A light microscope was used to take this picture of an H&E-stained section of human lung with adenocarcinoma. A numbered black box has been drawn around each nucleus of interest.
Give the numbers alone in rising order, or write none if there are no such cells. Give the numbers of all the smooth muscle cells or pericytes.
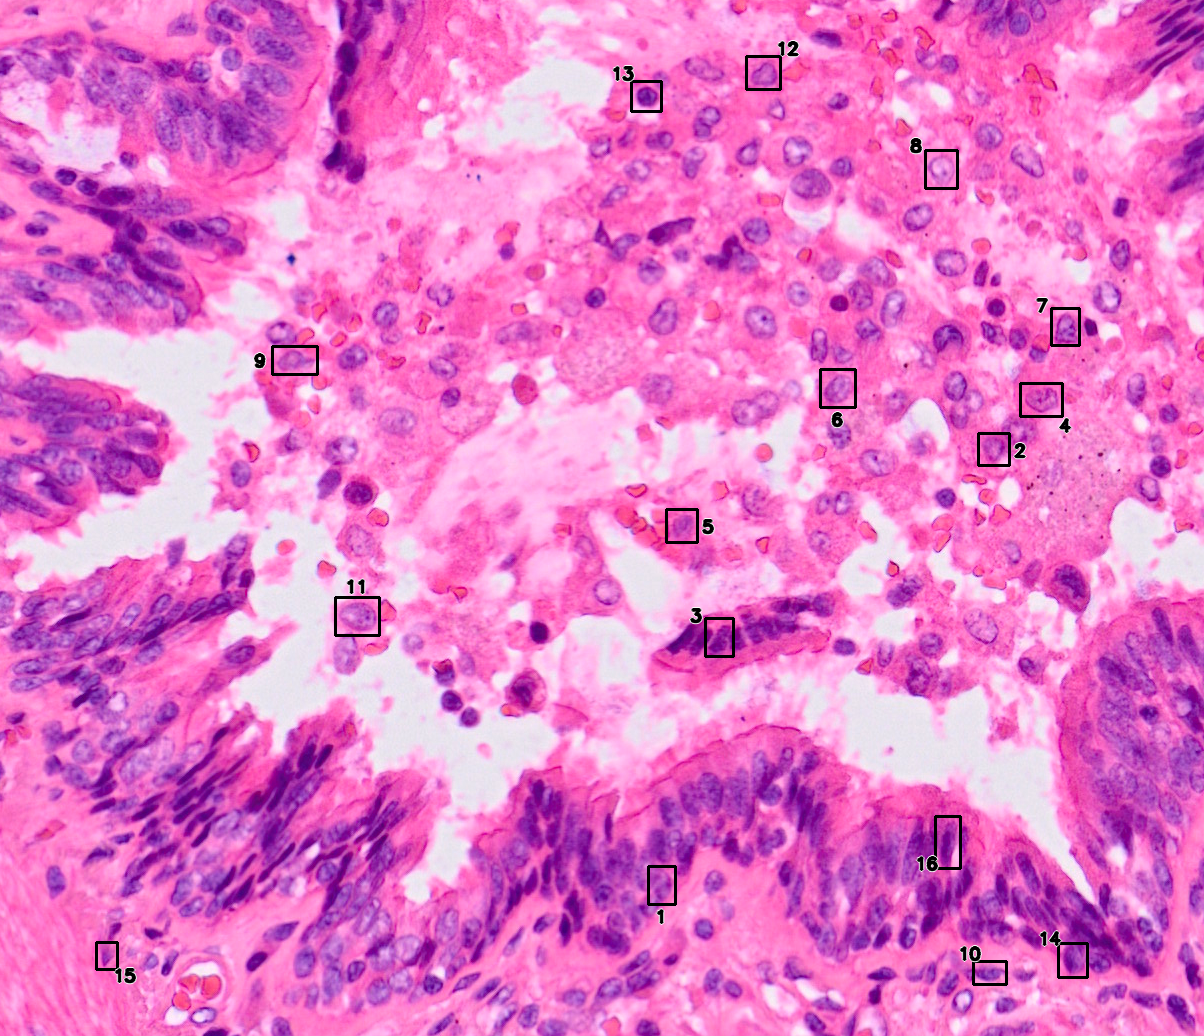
15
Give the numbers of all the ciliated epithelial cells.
1, 3, 14, 16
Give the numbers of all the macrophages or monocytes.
2, 4, 5, 6, 7, 8, 9, 11, 12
